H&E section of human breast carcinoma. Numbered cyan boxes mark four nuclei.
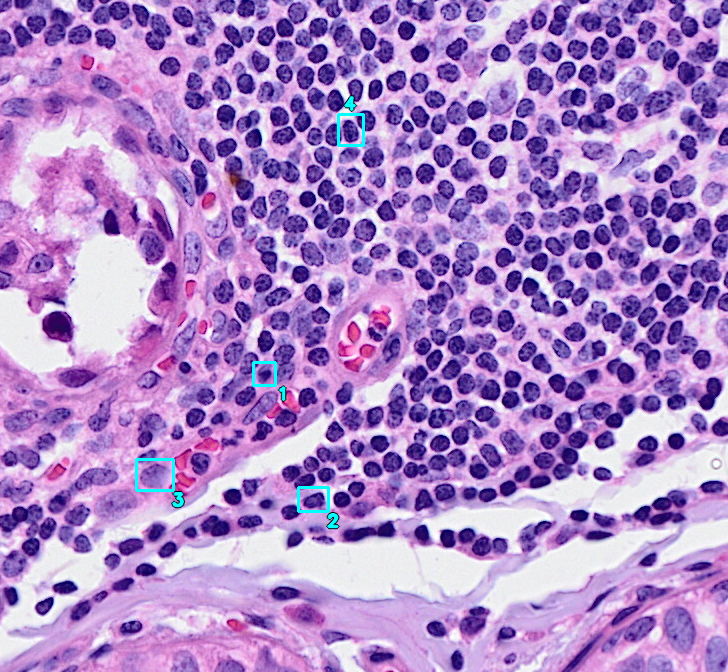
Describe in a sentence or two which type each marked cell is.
Cells 1, 2 and 4 are lymphocytes. Cell 3 is an endothelial cell.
